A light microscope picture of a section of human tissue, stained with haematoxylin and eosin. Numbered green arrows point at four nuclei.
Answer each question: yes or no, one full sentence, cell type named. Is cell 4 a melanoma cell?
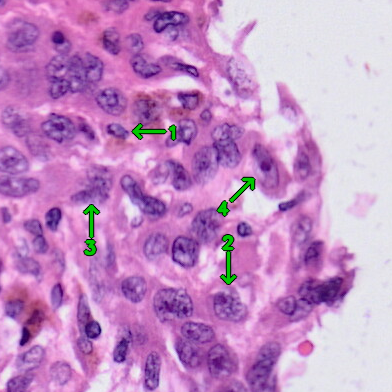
Yes, the marked cell numbered 4 is a melanoma cell.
